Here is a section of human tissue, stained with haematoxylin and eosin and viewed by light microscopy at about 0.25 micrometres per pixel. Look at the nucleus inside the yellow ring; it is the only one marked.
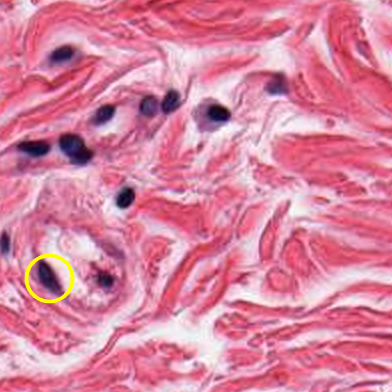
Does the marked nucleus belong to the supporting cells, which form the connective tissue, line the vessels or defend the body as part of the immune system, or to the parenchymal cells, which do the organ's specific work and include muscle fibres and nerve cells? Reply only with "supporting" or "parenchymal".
supporting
